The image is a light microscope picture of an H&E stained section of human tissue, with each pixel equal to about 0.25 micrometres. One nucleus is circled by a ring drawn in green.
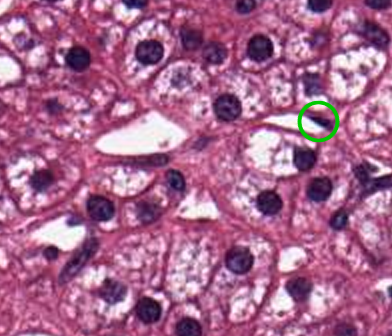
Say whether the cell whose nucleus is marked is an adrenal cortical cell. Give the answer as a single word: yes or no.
no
